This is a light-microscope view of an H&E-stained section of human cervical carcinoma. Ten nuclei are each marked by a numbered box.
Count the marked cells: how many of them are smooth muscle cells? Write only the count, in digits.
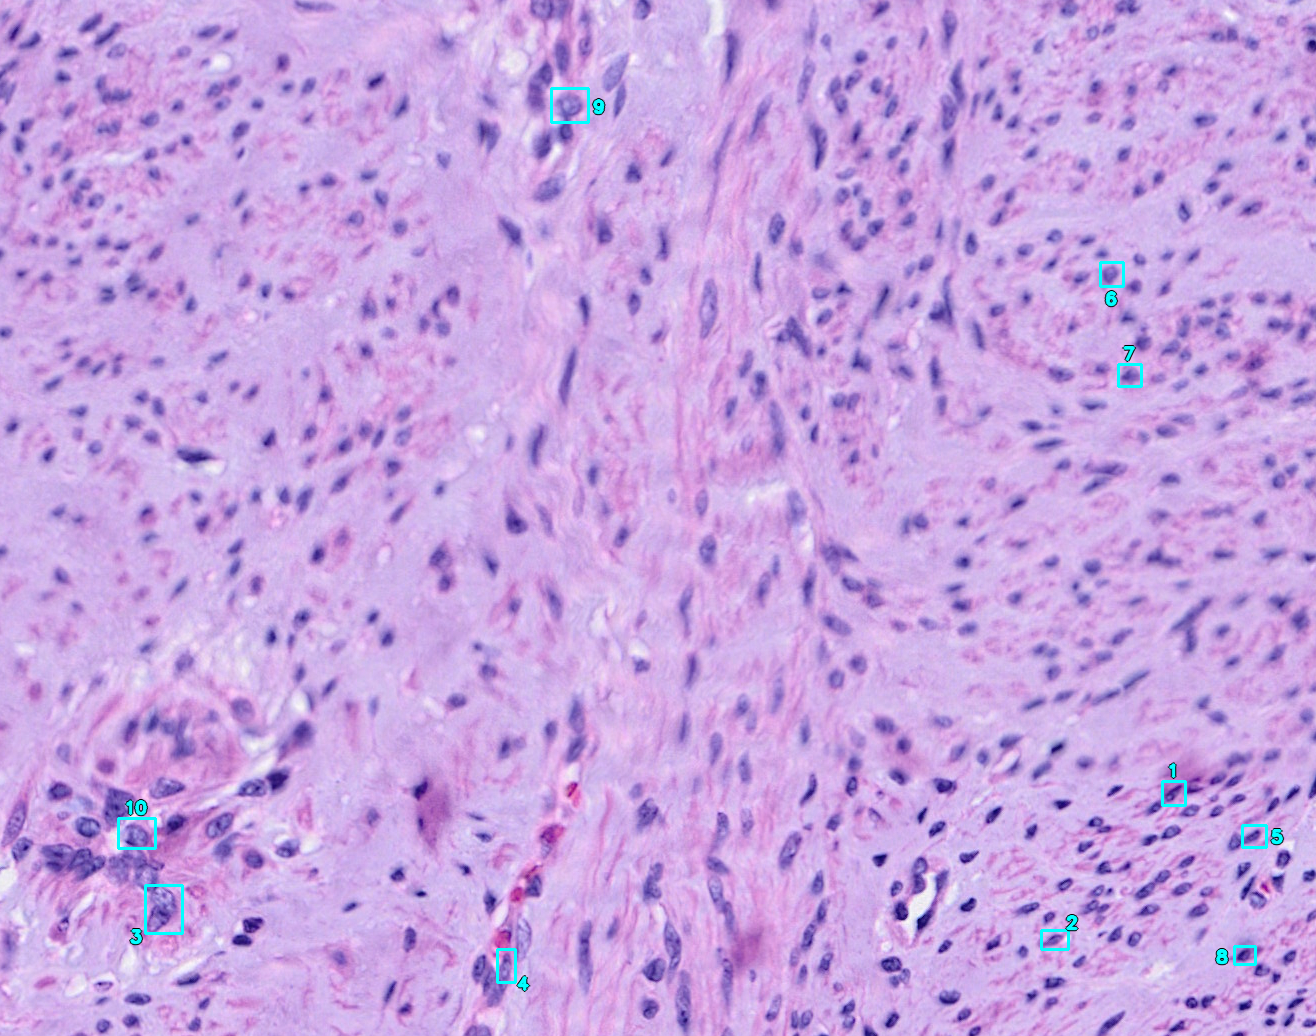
6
